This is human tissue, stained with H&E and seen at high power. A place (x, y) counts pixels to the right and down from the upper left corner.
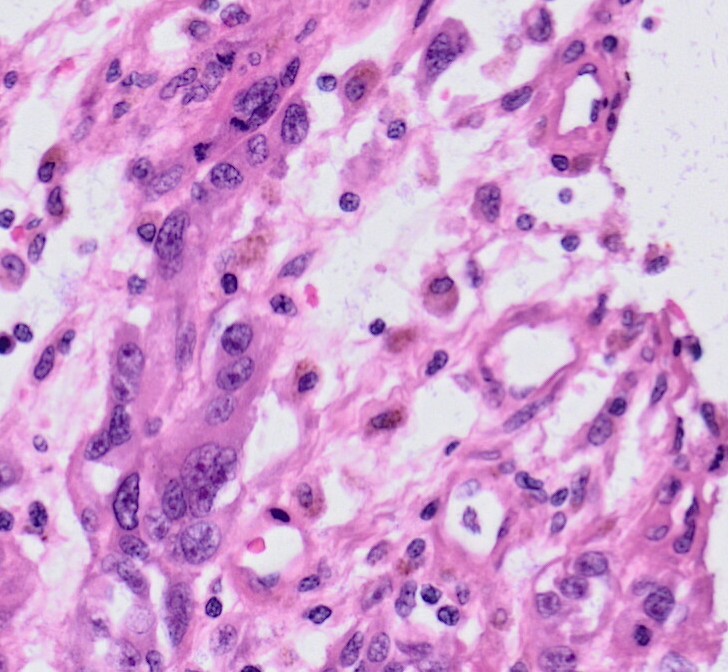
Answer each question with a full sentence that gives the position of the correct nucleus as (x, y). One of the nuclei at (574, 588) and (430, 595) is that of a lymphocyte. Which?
Only the nucleus at (430, 595), of the two, belongs to a lymphocyte.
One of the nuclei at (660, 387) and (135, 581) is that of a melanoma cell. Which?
The nucleus of a melanoma cell is the one at (135, 581).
